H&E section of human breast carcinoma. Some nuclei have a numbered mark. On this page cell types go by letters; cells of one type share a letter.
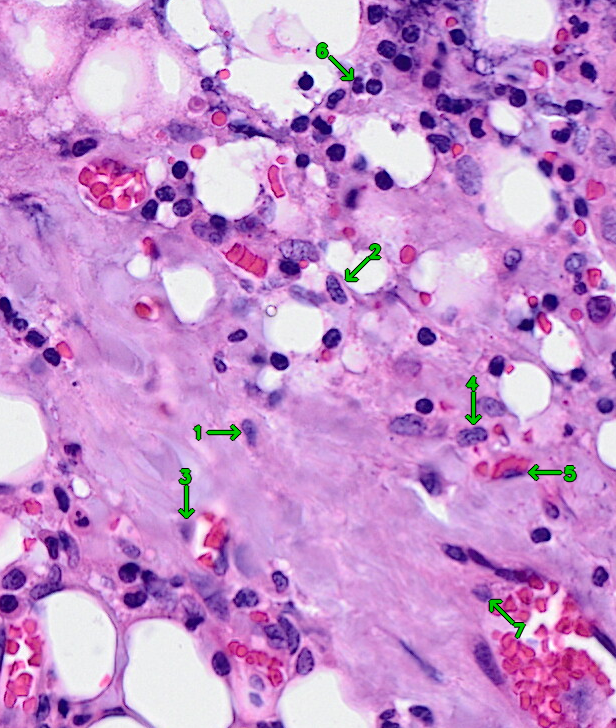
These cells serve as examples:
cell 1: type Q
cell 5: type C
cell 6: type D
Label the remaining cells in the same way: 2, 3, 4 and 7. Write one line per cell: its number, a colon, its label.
2: type Q
3: type C
4: type Q
7: type C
